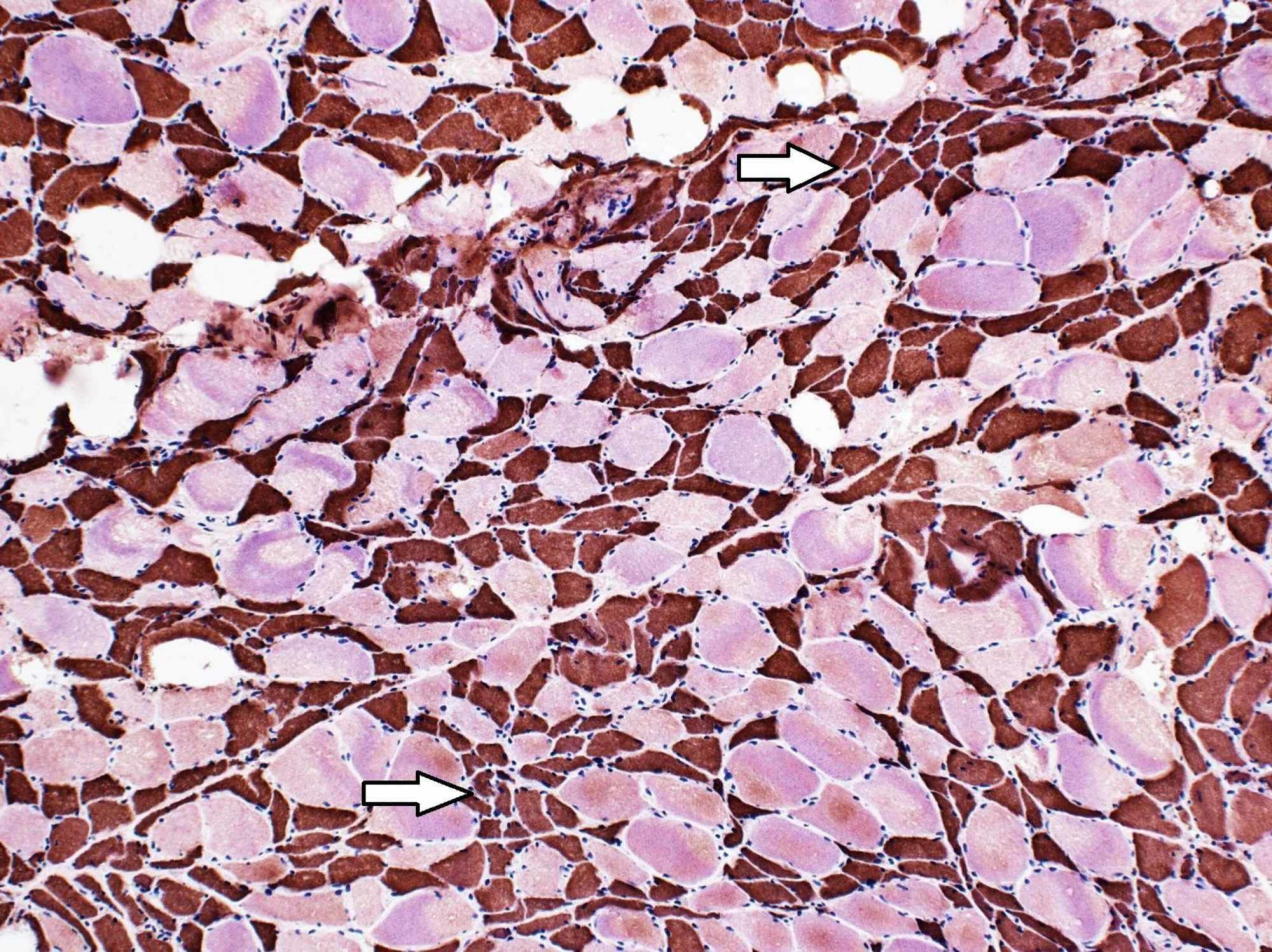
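This is a cross-section of skeletal muscle in which the fibers fall into two colours: large, rounded pale pink fibers and dark brown fibers. Many of the brown fibers are small and angular, squeezed into the spaces between the larger pink fibers, and in places they form clusters of tiny fibers. Scattered white empty spaces and some widened connective tissue lie among the fibers.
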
